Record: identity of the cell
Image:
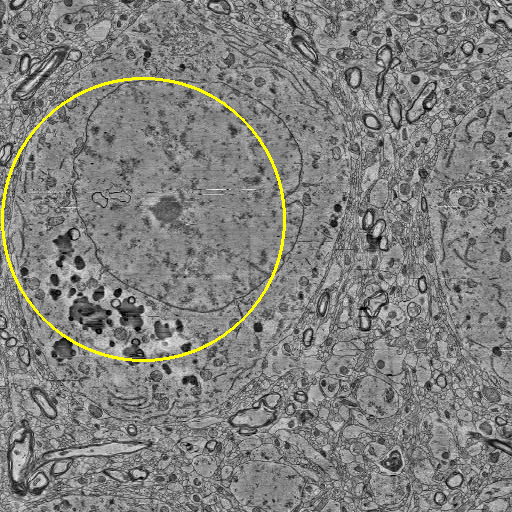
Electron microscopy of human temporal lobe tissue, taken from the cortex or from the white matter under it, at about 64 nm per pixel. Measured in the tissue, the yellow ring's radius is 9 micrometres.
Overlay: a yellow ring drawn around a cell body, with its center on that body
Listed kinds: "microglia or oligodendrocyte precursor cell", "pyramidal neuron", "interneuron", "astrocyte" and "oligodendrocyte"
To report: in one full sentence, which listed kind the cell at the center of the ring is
In the image, the cell body at the ring's center belongs to a pyramidal neuron.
